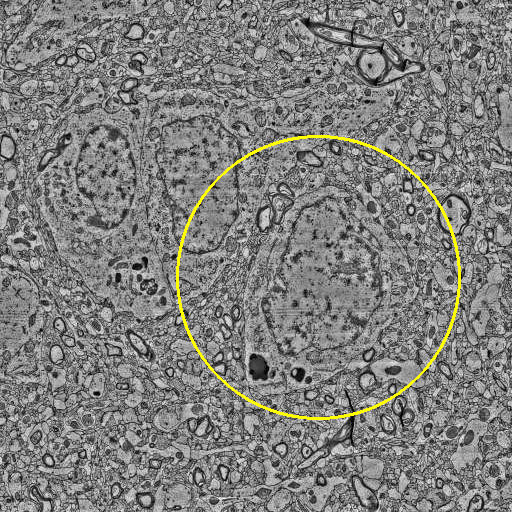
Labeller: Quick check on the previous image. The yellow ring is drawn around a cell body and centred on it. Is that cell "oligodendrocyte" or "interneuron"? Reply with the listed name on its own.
interneuron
